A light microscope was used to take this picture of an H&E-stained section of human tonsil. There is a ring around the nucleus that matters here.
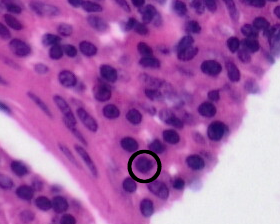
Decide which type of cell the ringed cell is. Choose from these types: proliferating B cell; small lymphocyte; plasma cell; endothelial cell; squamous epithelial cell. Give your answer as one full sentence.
Students should answer that the ringed cell is a plasma cell.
